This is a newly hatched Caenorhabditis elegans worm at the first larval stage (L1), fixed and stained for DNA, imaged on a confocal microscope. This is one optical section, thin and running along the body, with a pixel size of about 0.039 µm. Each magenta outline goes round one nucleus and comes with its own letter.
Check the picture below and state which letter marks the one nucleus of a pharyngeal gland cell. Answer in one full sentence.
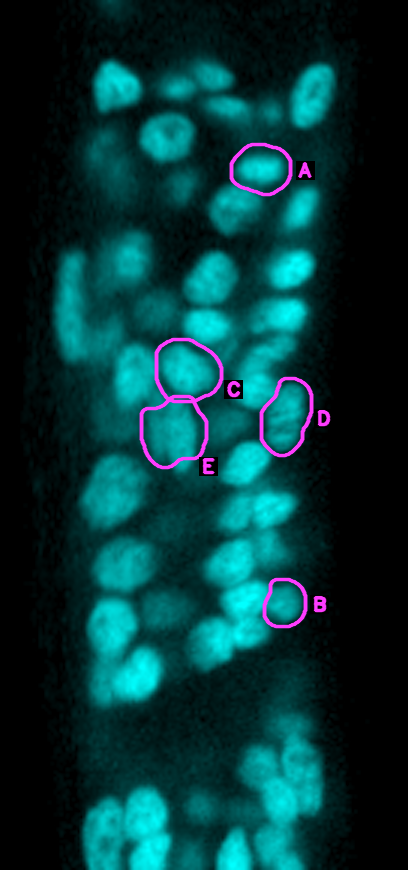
A is the one that belongs to a pharyngeal gland cell.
